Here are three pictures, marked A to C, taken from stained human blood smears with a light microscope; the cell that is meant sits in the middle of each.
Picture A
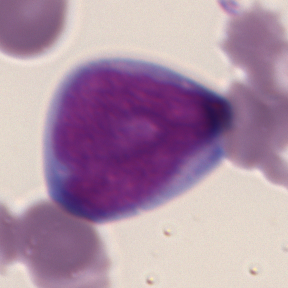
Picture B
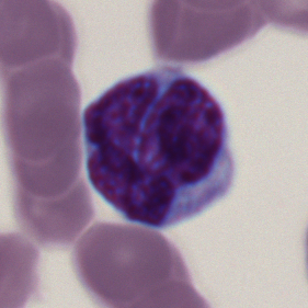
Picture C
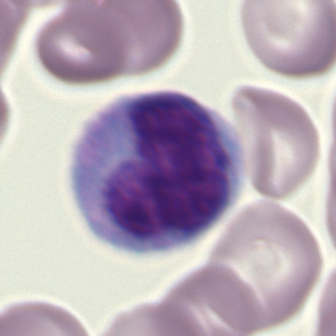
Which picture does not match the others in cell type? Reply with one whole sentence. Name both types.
The others show monocytes, but picture A shows a myeloblast.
